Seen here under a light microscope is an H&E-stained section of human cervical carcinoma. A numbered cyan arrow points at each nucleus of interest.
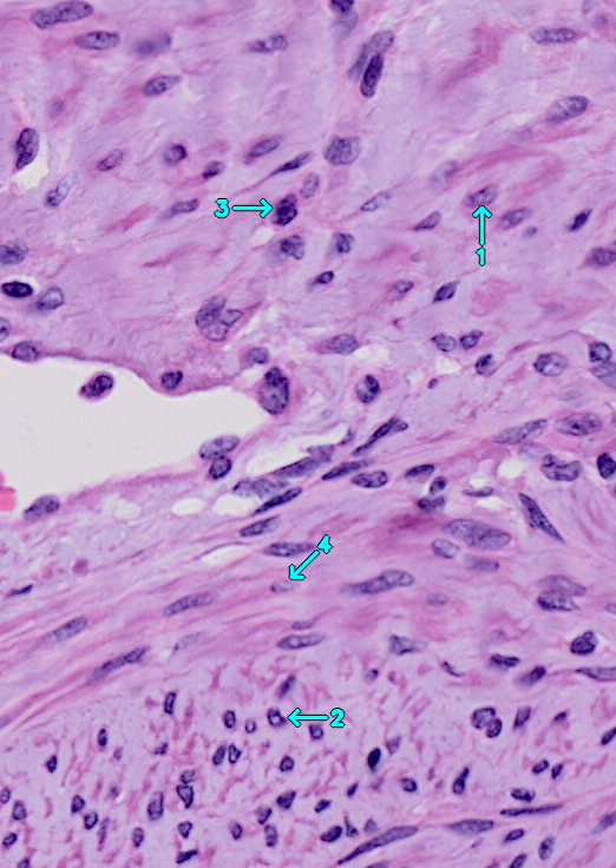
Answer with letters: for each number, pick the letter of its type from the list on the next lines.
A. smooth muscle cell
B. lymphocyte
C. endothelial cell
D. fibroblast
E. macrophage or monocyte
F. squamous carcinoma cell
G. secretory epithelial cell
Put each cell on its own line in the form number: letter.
1: A
2: A
3: B
4: A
